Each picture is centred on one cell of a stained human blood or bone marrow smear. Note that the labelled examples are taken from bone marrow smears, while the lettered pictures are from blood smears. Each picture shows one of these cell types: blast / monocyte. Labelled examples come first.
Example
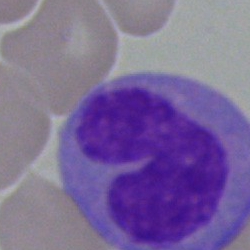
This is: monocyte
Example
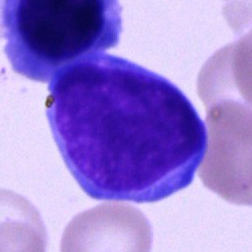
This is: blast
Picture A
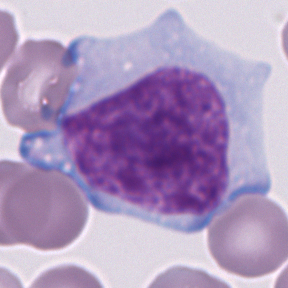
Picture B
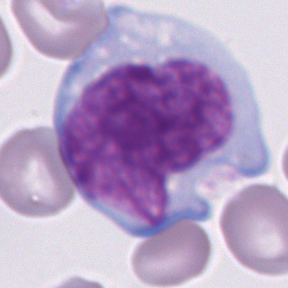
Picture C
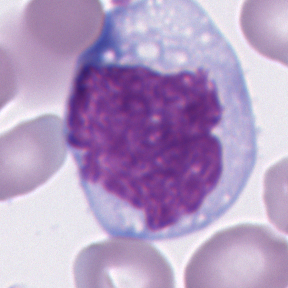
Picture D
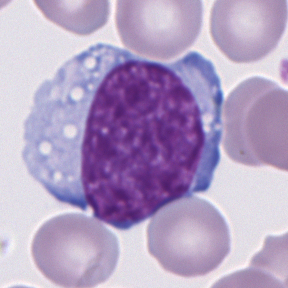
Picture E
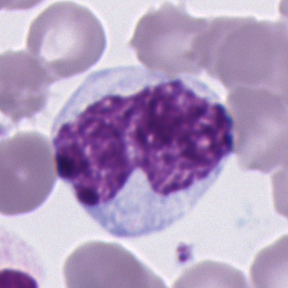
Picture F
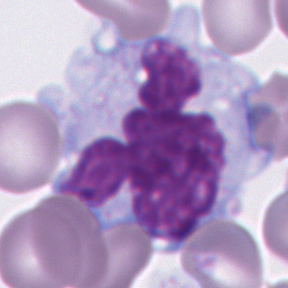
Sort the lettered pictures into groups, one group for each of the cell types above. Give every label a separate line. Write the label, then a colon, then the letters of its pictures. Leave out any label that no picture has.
blast: A, B, D
monocyte: C, E, F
